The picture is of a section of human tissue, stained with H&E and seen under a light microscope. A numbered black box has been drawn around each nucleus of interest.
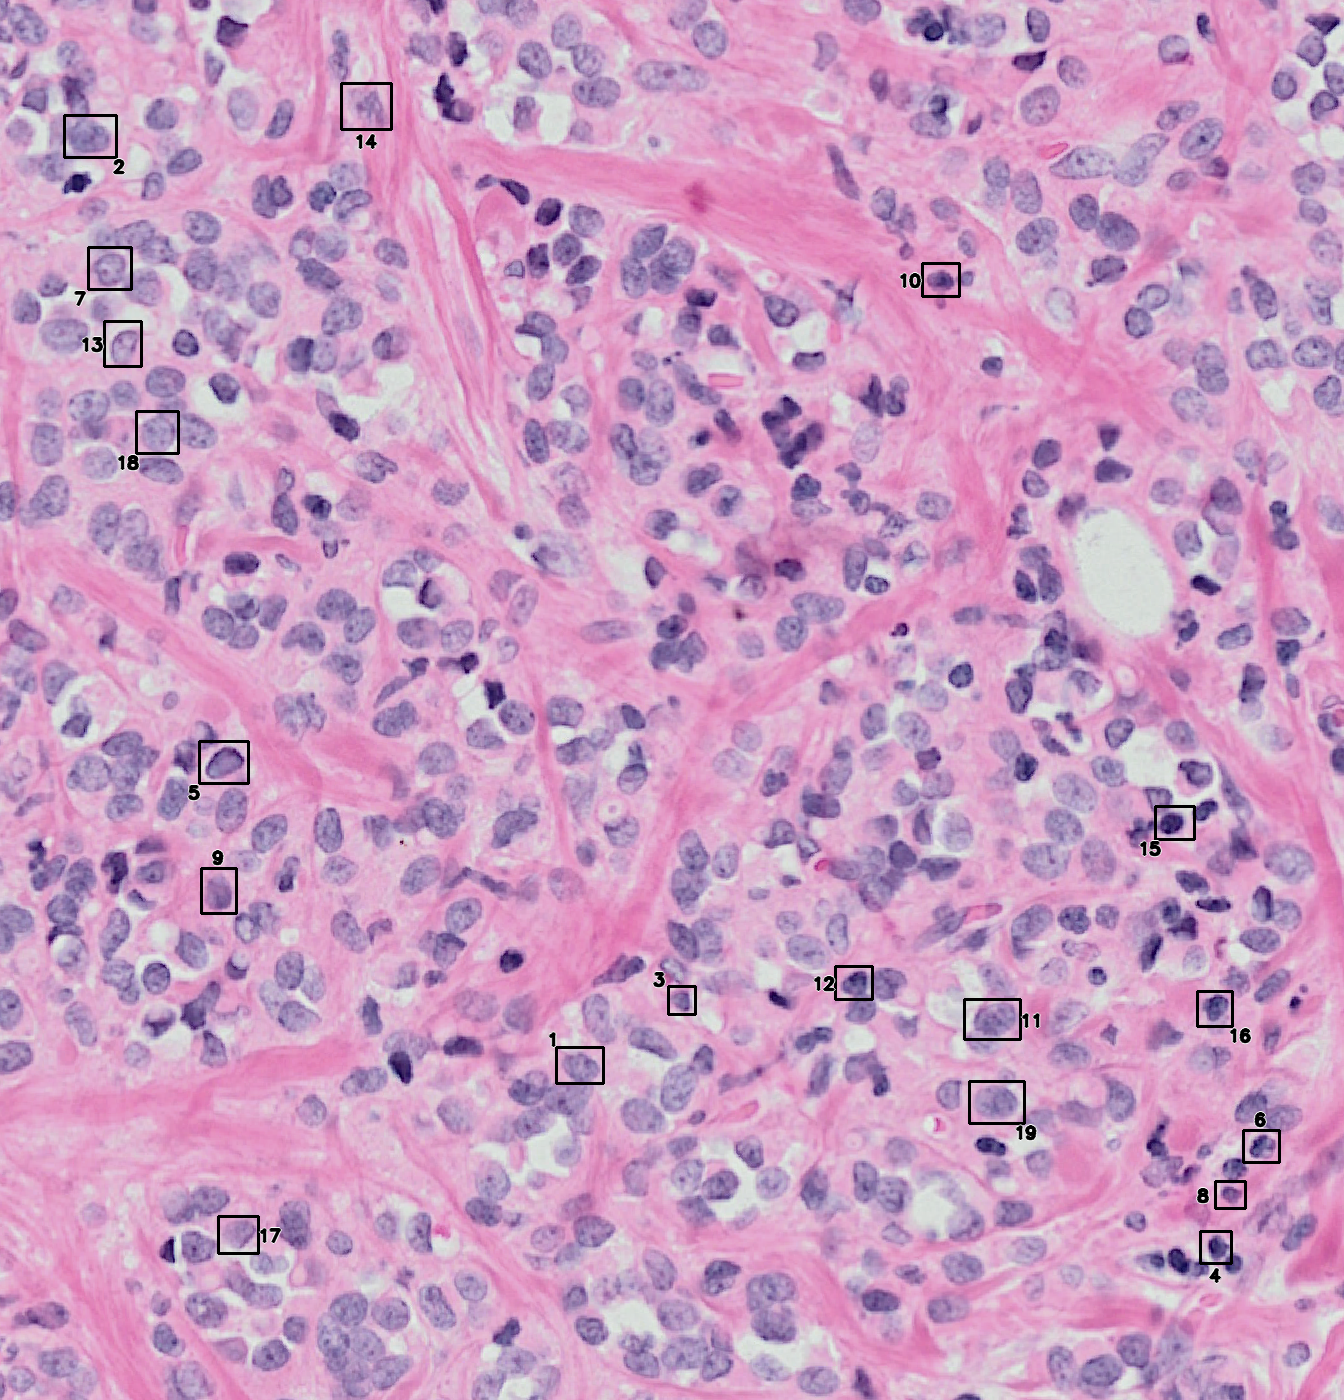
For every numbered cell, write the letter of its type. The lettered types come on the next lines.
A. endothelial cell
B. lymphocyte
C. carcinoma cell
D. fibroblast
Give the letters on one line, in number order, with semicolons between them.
C; C; A; B; C; B; C; B; C; B; C; B; C; D; B; B; C; C; C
